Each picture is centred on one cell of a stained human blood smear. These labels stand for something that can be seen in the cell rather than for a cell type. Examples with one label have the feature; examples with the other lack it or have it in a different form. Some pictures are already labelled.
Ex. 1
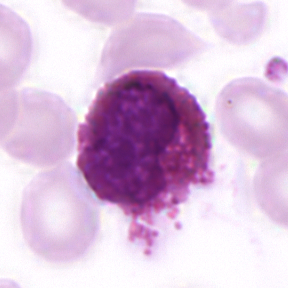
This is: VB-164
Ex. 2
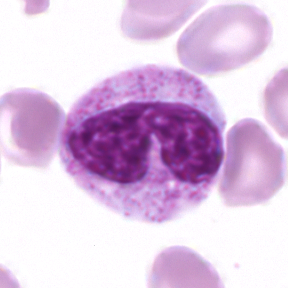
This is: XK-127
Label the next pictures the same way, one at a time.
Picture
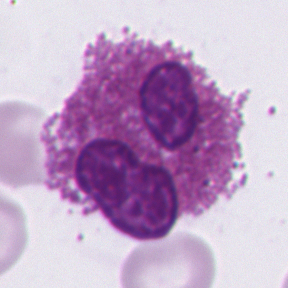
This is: XK-127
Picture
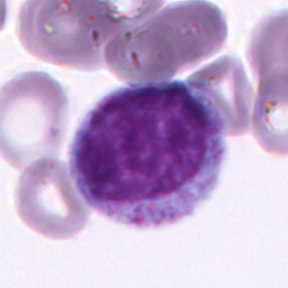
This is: VB-164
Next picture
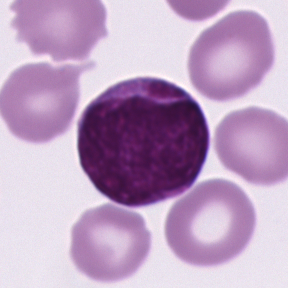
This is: VB-164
